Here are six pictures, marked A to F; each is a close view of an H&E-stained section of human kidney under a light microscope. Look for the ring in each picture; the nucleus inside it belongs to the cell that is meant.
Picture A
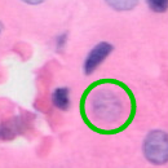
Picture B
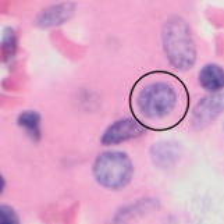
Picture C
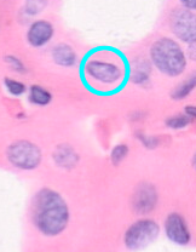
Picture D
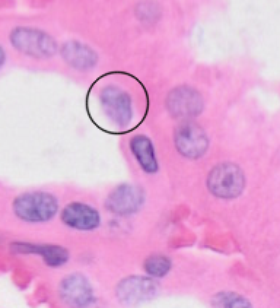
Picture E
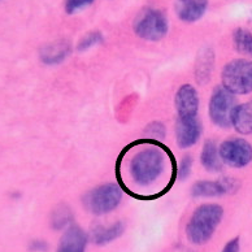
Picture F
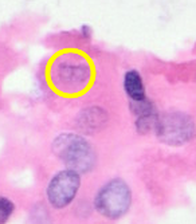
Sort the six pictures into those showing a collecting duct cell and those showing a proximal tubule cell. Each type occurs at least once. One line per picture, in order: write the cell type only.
proximal tubule cell
collecting duct cell
collecting duct cell
collecting duct cell
collecting duct cell
proximal tubule cell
